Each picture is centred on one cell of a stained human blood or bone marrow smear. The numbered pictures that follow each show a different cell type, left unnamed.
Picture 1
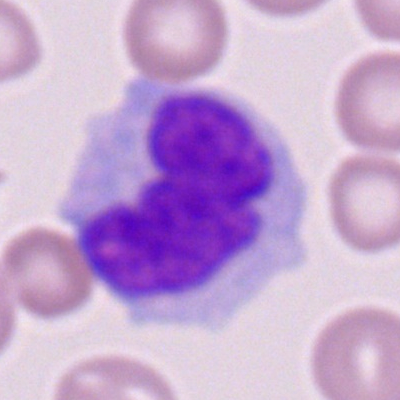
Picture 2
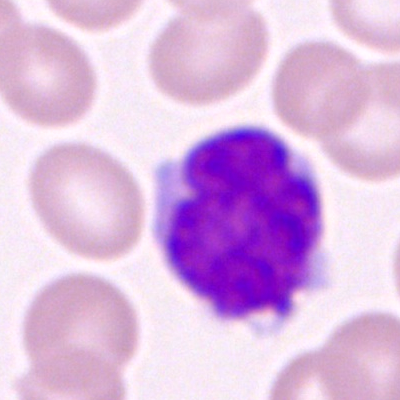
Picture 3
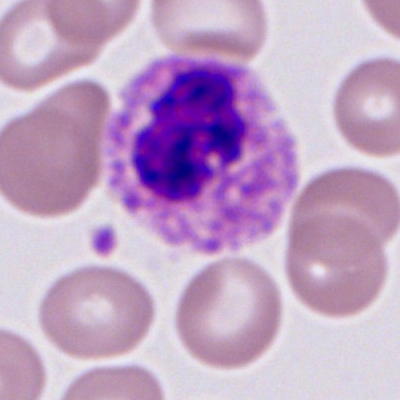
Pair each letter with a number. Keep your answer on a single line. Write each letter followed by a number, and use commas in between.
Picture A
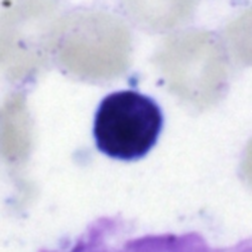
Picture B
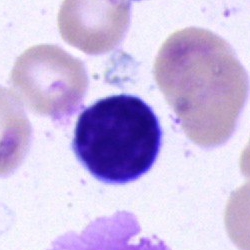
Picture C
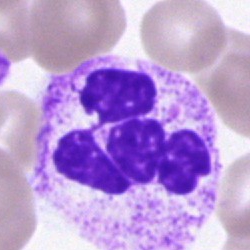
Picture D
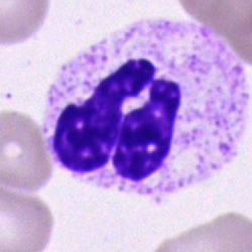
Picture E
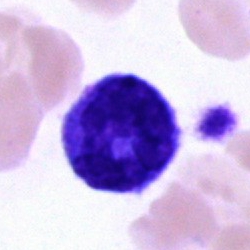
A 2, B 2, C 3, D 3, E 1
